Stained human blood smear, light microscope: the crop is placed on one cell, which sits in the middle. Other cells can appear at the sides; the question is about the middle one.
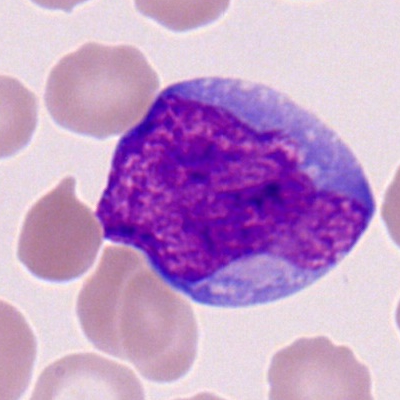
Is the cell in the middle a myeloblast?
yes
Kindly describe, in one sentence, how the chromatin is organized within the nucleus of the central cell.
Its chromatin is clumped in a coarse pattern.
